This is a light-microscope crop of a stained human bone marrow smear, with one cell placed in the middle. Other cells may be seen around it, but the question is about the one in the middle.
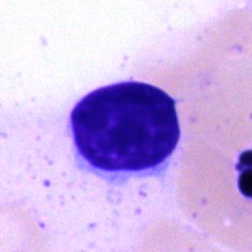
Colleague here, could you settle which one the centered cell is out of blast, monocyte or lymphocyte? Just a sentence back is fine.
Of the cells in this crop, the central one is a lymphocyte.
